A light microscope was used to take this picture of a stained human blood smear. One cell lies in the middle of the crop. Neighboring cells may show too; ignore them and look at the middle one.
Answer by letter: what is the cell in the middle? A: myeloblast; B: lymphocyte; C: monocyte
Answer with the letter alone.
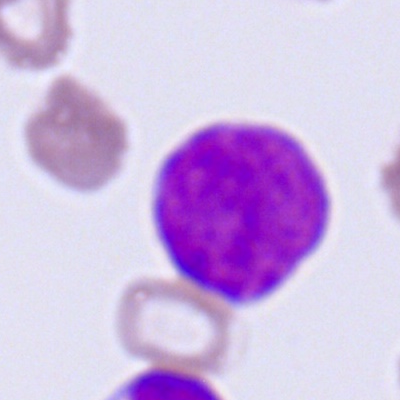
A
